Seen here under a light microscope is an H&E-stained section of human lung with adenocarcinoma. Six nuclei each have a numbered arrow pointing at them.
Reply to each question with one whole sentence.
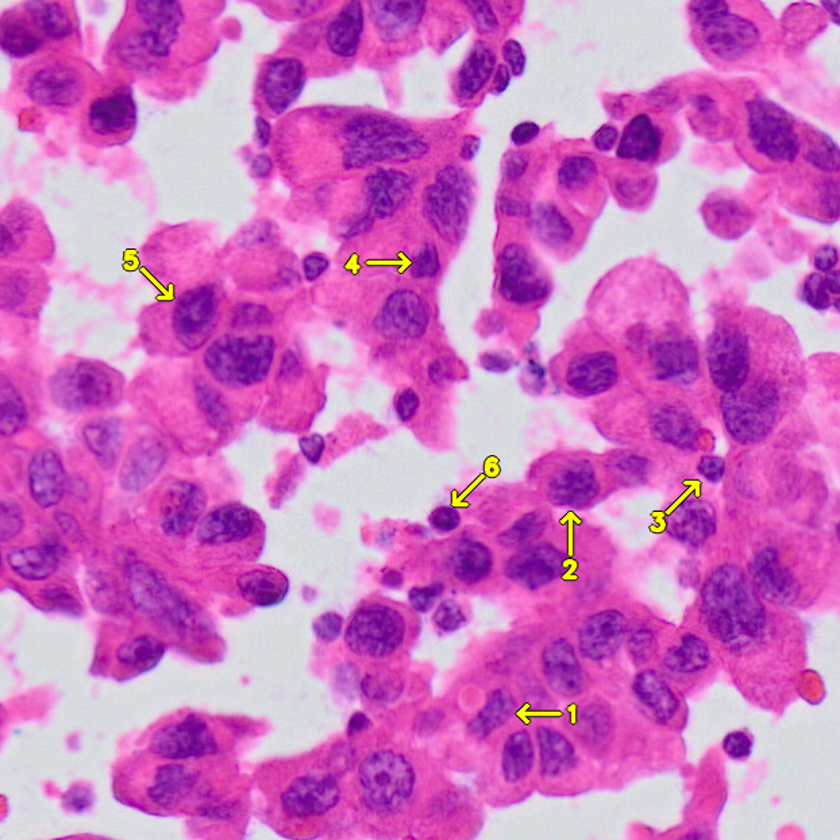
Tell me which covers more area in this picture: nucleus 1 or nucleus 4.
The larger nucleus is 1, at roughly 2 times the area of 4.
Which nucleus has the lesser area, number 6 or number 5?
The smaller nucleus is 6, and 5 covers roughly 3 times its area.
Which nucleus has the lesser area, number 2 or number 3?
Nucleus 3 is the smaller one; nucleus 2 covers about 4 times its area.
